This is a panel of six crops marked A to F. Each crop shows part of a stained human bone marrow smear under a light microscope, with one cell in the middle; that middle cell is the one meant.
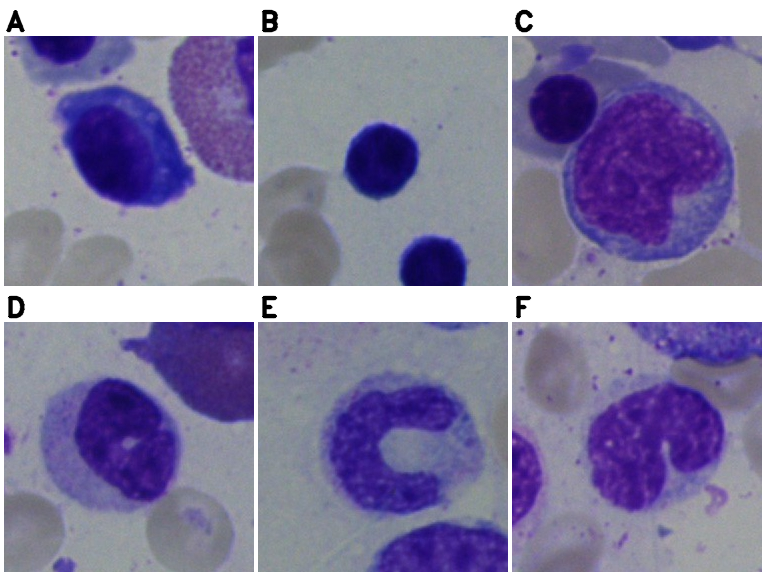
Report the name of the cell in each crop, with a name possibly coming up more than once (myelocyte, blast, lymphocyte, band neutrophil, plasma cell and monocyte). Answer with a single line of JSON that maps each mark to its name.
{"A": "plasma cell", "B": "lymphocyte", "C": "monocyte", "D": "monocyte", "E": "band neutrophil", "F": "monocyte"}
